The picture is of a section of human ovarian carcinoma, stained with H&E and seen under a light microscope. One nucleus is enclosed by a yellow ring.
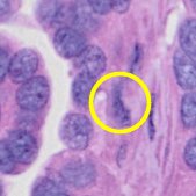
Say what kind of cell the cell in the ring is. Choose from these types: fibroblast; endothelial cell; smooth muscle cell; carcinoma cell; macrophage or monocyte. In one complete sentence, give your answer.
Within the stained tissue, the cell in the ring is a fibroblast.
